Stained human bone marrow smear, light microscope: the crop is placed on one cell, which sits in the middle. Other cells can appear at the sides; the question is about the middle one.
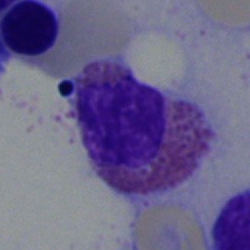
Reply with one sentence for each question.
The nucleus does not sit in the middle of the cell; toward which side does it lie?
Toward the upper left of the cell lies its nucleus.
